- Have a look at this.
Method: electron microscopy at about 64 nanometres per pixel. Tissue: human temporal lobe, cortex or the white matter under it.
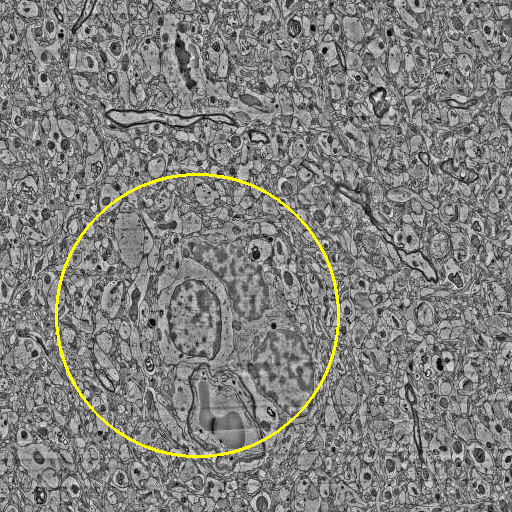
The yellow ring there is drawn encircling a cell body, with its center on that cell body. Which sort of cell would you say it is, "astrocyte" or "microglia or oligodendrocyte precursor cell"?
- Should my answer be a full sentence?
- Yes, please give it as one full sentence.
For this picture, a microglial cell or oligodendrocyte precursor cell is the cell where the yellow ring has its center.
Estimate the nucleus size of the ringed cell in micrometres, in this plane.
Roughly 5 micrometres by 3 micrometres, in this plane.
